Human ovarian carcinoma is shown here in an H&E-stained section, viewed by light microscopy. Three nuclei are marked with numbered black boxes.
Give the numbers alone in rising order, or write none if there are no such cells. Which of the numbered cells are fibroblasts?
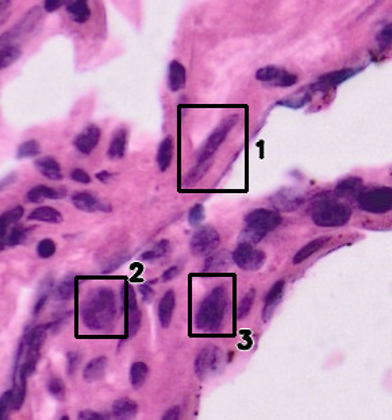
1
